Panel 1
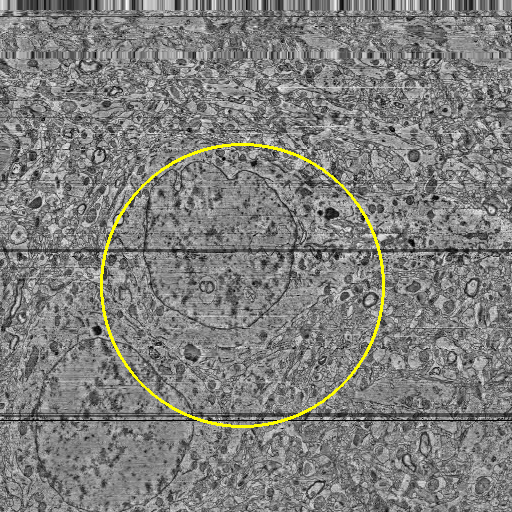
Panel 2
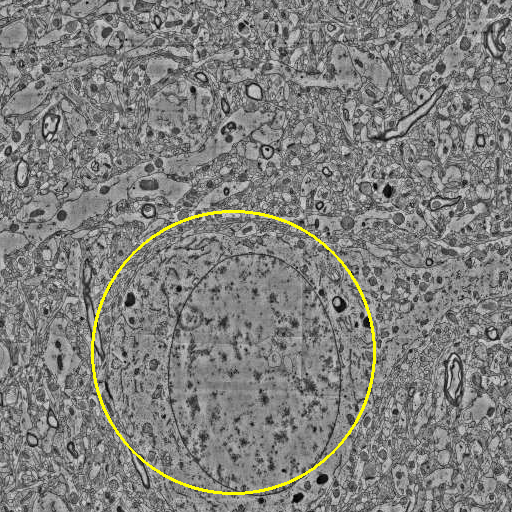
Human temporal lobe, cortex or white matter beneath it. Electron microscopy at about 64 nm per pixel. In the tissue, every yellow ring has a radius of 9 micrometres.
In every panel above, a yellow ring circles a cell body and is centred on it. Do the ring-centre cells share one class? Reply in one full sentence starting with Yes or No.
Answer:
Yes, the two cells at the ring centres in the panels belong to one class.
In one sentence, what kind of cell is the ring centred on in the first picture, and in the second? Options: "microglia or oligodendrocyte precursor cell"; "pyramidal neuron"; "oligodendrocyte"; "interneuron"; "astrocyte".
Each of the two rings is centred on a pyramidal neuron.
